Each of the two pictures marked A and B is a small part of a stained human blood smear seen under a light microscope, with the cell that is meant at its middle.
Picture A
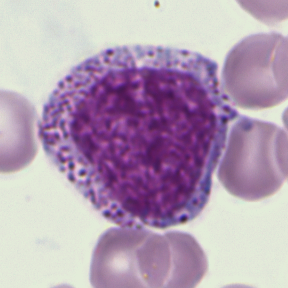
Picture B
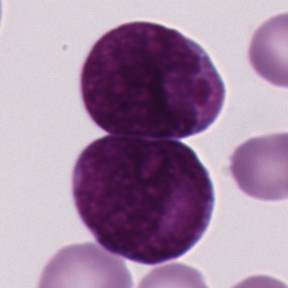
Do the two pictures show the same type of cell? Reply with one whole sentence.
No; the cell in picture A is a promyelocyte, while the one in picture B is a myeloblast.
